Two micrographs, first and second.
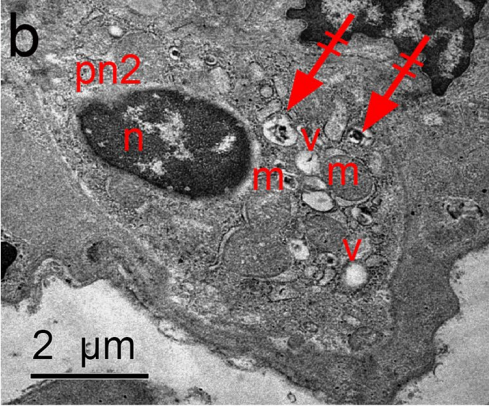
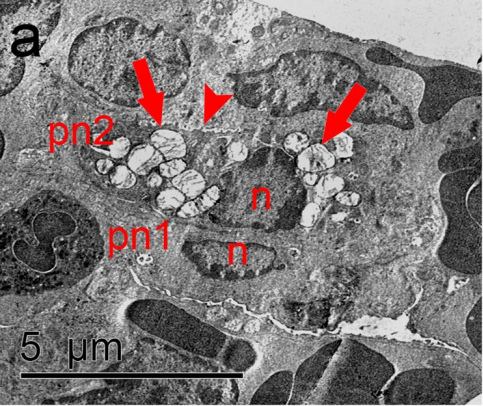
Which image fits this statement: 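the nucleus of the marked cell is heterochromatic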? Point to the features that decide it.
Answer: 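The first image. Second image: the nucleus is mostly pale with darker chromatin at its rim.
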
